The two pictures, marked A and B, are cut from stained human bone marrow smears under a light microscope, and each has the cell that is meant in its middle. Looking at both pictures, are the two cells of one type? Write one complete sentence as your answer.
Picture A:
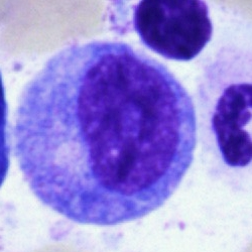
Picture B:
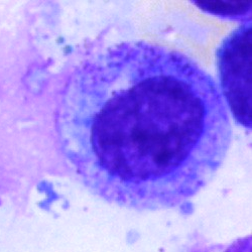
Yes, both cells are promyelocytes.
